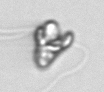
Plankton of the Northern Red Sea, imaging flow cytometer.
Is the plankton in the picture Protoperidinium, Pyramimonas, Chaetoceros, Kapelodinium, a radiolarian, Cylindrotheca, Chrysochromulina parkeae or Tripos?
It is Pyramimonas.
